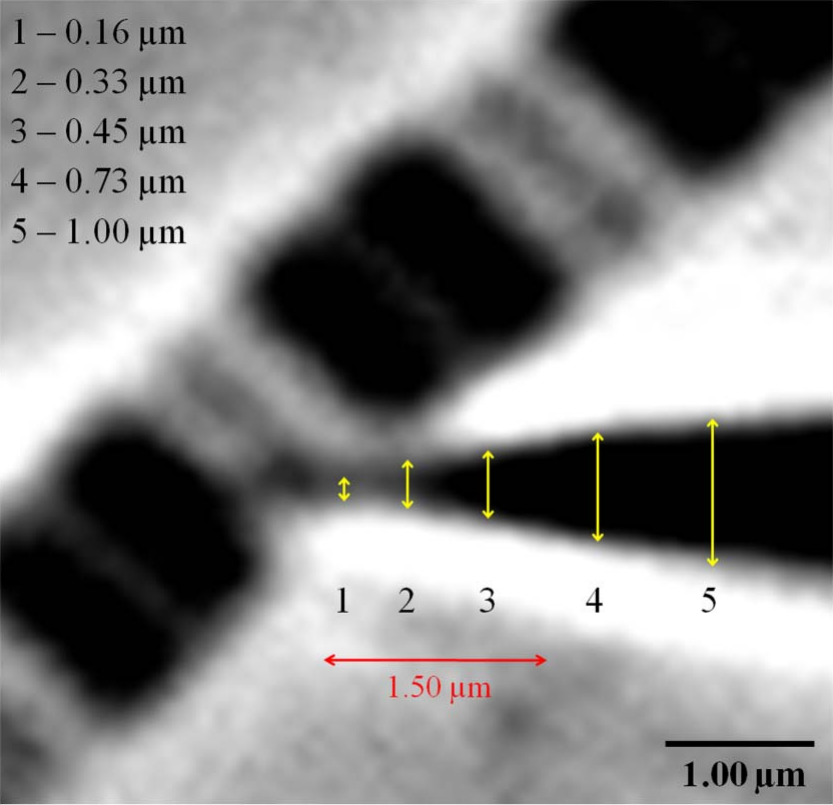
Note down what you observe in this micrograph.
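An isolated myofibril runs diagonally across the field as a chain of repeating sarcomeres, in which large dark blocks alternate with narrow pale bands. Faint thin lines cross the dark blocks, and the edges of the blocks are soft and rounded. A tapering dark needle enters from the right, and its fine tip meets the myofibril at a pale band between two dark blocks.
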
